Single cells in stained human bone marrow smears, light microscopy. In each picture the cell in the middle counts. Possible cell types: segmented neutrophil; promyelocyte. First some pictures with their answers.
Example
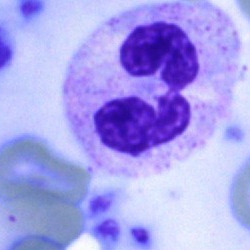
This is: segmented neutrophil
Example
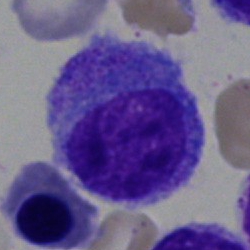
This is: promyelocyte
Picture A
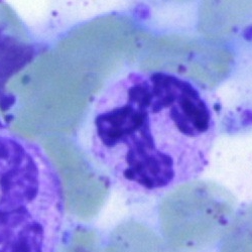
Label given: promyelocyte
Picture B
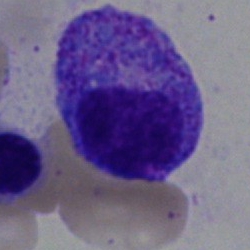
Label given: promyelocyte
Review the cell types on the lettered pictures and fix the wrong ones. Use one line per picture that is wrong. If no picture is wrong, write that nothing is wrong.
A: segmented neutrophil, not promyelocyte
